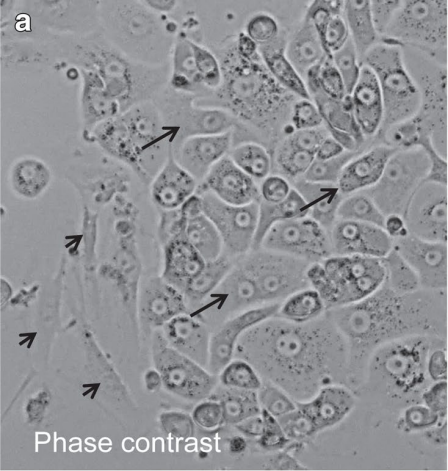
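Here a living culture monolayer is seen, mostly made of polygonal cells pressed edge to edge into a continuous sheet, like paving stones. Each of these cells has a round, pale central nucleus with one or two prominent dark nucleoli and a cytoplasm dotted with dark granules, more crowded near the nucleus. At the left margin, set apart from the sheet, lie thin, elongated spindle-shaped cells with long tapering ends and little visible granularity. Scattered rounded, bright cells lie on top.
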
